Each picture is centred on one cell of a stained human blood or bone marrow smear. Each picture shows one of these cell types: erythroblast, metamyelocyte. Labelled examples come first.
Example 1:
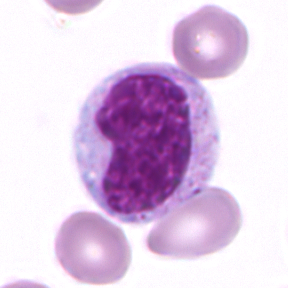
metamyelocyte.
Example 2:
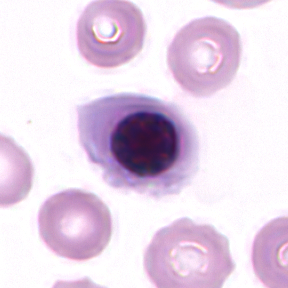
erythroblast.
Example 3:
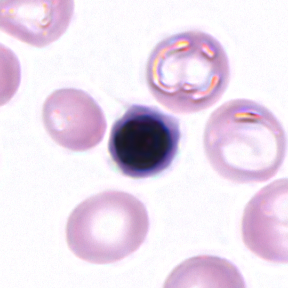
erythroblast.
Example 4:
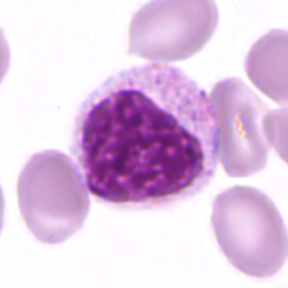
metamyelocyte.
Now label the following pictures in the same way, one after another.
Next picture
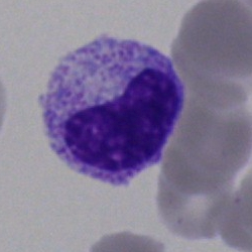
metamyelocyte.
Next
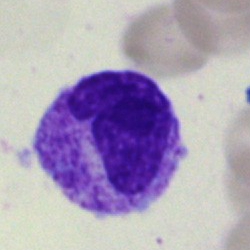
metamyelocyte.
